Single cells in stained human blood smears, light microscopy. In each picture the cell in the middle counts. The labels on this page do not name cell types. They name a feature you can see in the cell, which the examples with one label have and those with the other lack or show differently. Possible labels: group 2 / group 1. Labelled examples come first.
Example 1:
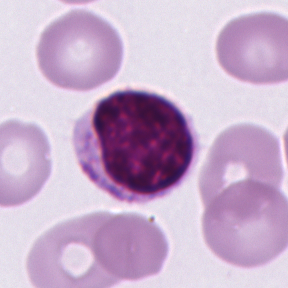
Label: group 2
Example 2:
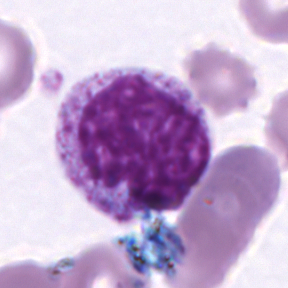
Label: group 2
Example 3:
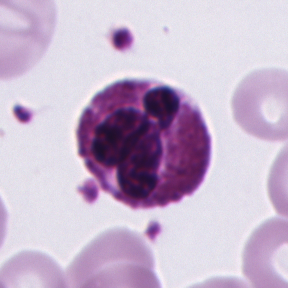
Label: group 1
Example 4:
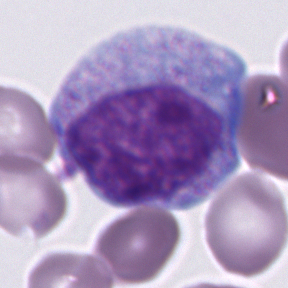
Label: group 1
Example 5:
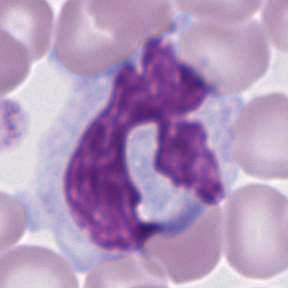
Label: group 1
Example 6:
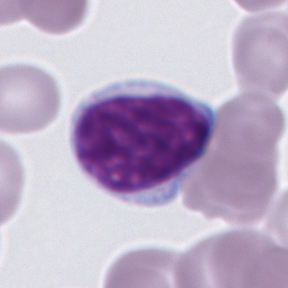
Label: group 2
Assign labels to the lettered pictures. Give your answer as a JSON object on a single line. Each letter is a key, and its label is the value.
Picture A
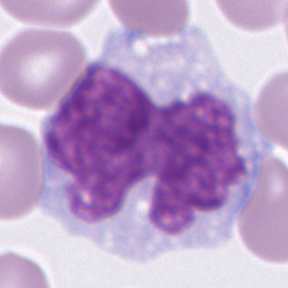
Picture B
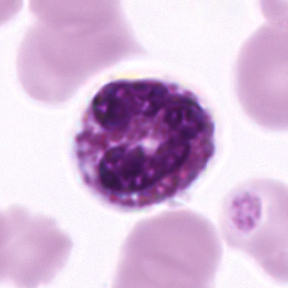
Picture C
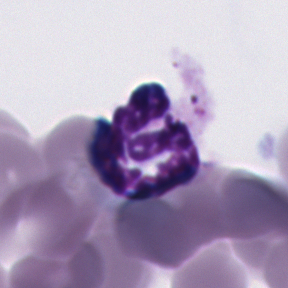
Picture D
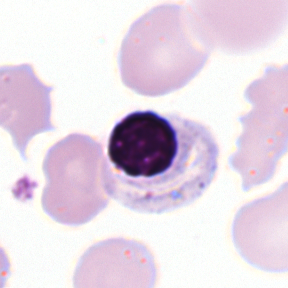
{"A": "group 1", "B": "group 2", "C": "group 2", "D": "group 1"}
